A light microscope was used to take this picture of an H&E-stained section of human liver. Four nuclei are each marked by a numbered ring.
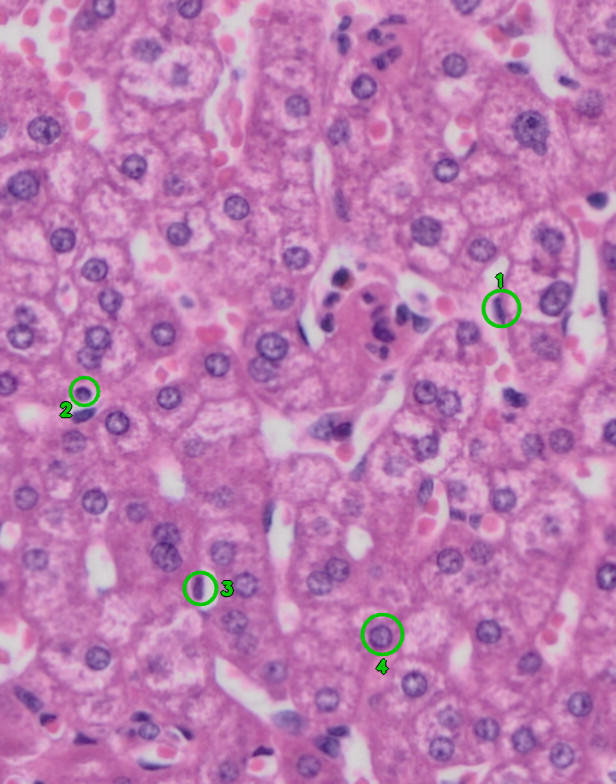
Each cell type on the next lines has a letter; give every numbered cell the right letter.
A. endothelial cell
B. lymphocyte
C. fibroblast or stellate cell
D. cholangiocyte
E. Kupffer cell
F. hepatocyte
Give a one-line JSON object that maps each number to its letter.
{"1": "A", "2": "B", "3": "E", "4": "F"}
